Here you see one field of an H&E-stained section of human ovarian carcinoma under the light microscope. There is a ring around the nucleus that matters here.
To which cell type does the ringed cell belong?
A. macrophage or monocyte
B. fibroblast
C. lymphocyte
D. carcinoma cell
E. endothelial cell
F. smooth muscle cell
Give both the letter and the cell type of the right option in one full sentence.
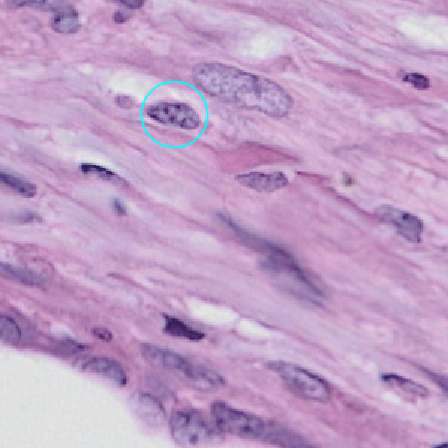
Option A holds, since the ringed cell is a macrophage or monocyte.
